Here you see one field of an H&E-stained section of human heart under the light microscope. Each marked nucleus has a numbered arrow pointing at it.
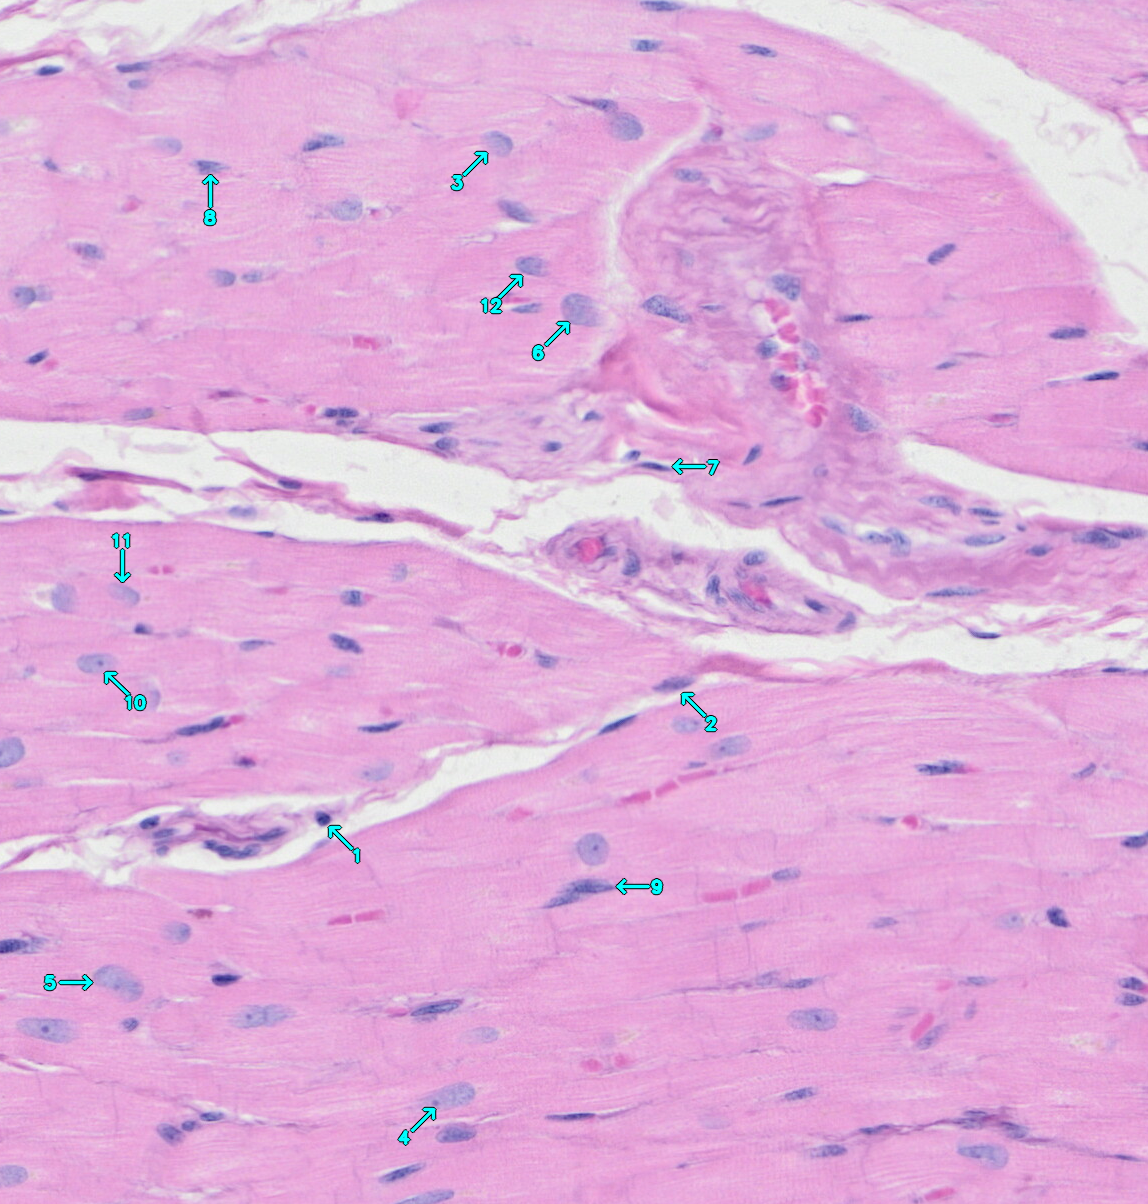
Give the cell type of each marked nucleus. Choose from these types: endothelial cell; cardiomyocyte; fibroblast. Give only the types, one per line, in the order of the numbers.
fibroblast
fibroblast
cardiomyocyte
cardiomyocyte
cardiomyocyte
cardiomyocyte
fibroblast
endothelial cell
endothelial cell
cardiomyocyte
cardiomyocyte
cardiomyocyte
